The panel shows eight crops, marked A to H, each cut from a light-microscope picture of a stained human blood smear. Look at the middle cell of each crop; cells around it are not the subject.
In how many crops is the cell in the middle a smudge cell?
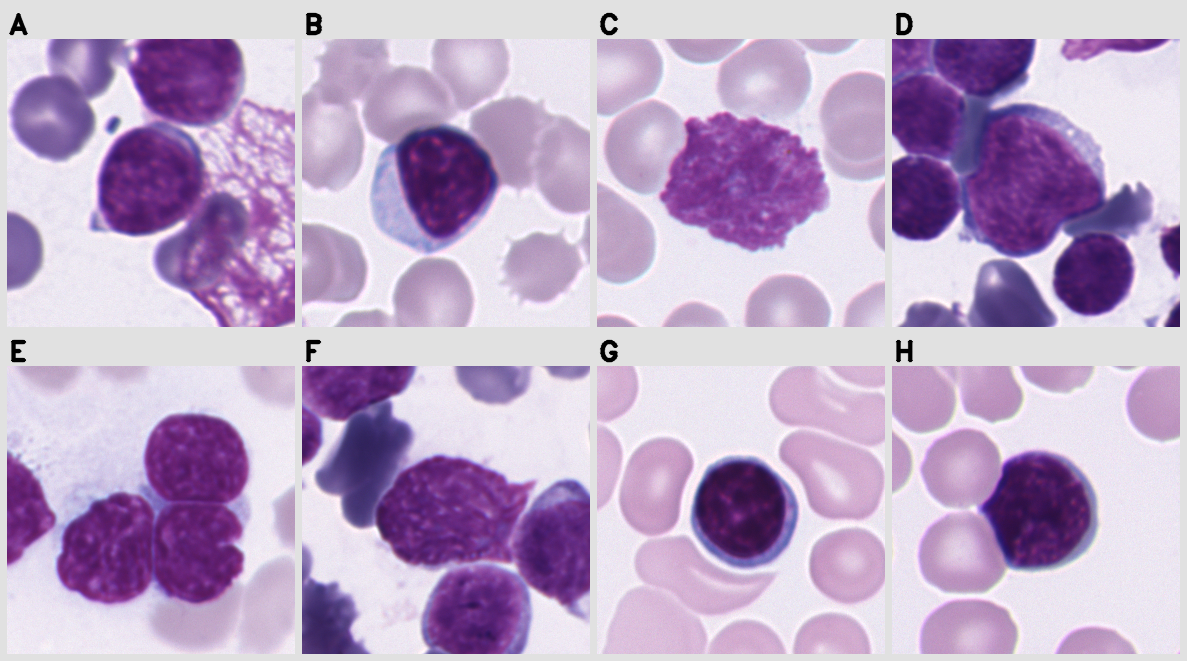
1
